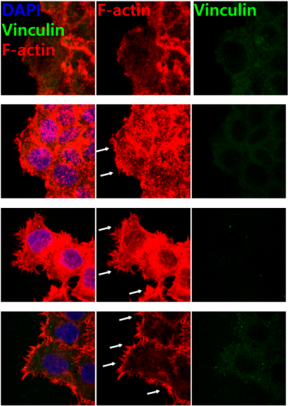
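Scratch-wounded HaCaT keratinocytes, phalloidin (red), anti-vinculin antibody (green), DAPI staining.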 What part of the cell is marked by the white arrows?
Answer: filopodia-like protrusions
